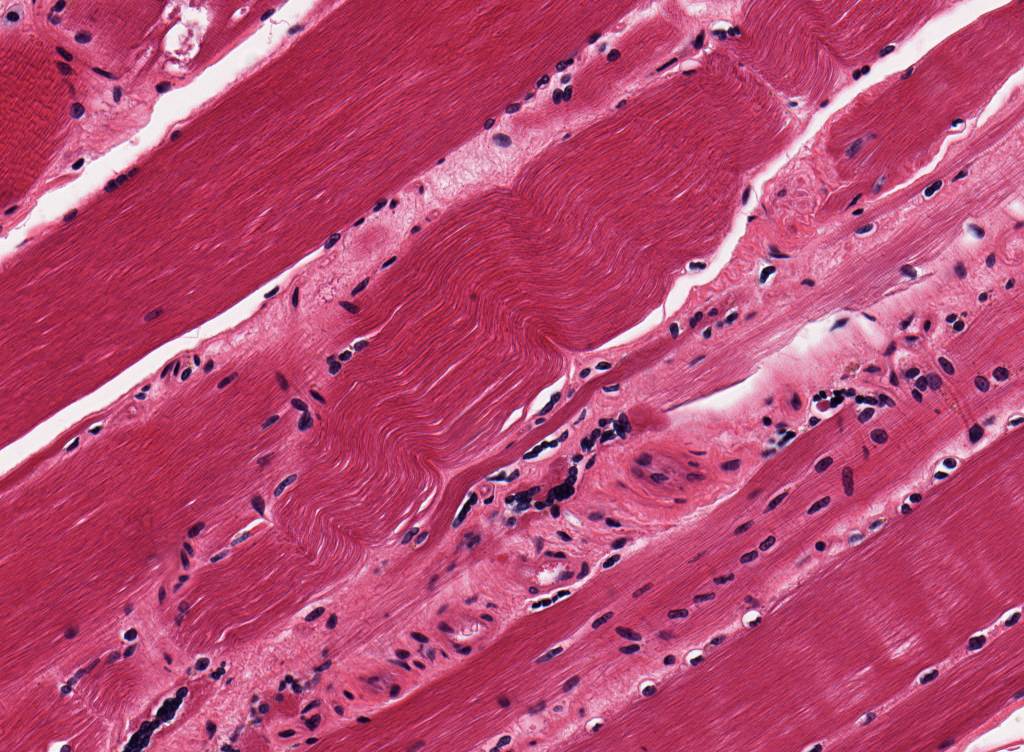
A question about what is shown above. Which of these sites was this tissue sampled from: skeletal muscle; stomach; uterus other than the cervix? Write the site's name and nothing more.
skeletal muscle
